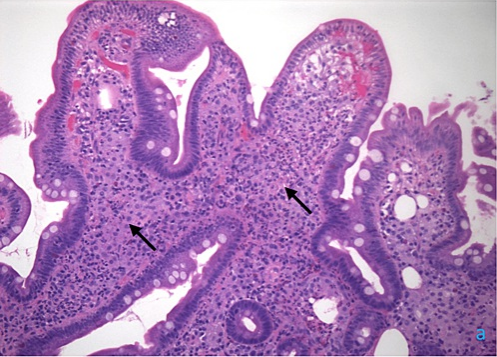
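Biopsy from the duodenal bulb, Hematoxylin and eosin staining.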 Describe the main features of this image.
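This is small-bowel mucosa with broad, blunted villi lined by a single layer of tall columnar cells with scattered clear goblet cells. The cores of the villi are widened and packed with cells, many of them large with pale, foamy pink cytoplasm, mixed with smaller darker inflammatory cells. A few crypts sit at the base among this crowded stroma.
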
